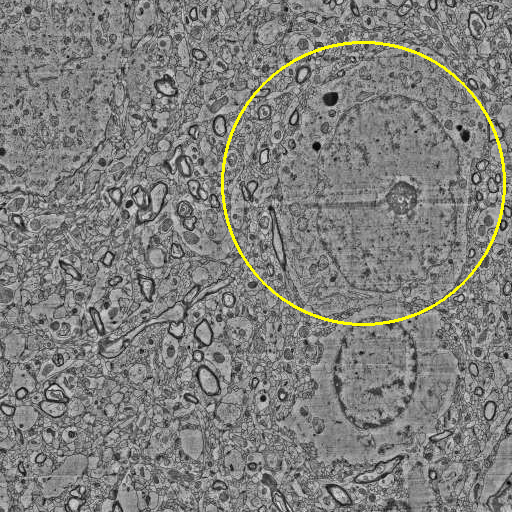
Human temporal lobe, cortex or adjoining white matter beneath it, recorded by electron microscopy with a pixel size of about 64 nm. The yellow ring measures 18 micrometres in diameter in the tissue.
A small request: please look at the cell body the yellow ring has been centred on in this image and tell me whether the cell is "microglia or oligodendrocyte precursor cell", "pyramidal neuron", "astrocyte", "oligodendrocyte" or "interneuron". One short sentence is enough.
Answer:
The cell marked by the ring is an interneuron.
